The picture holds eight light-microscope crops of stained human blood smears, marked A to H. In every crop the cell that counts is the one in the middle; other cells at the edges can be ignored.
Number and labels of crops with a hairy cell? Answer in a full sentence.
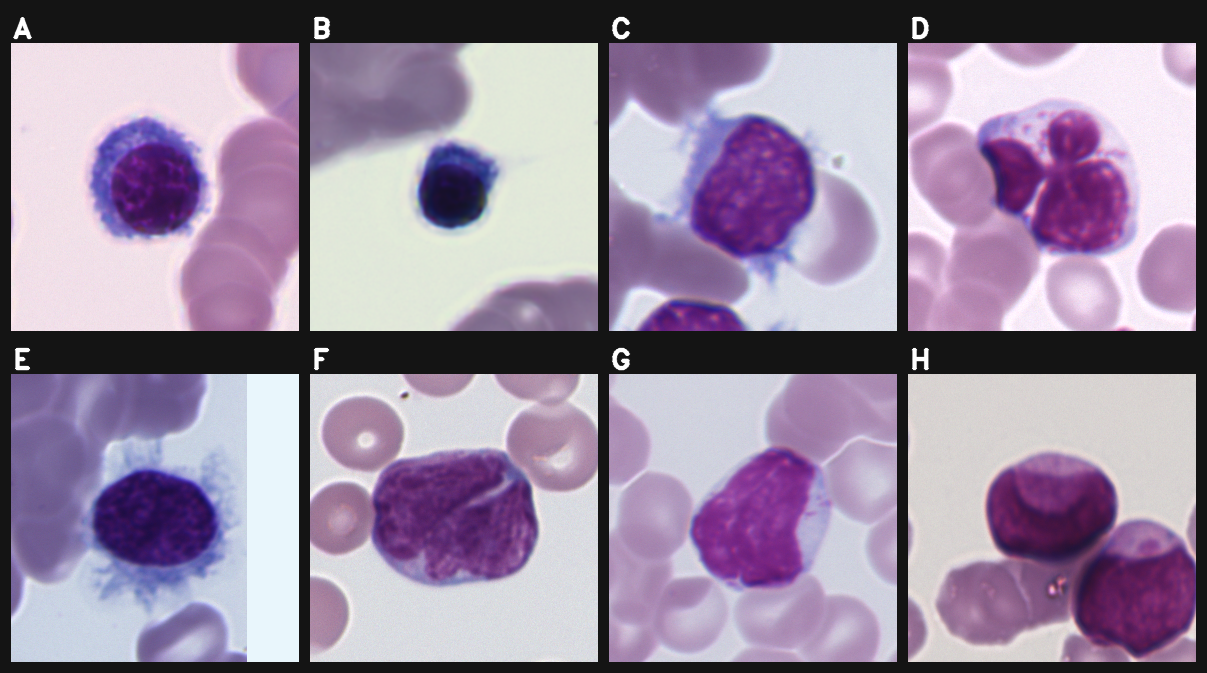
Crops showing hairy cells total two, and they are C and E.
